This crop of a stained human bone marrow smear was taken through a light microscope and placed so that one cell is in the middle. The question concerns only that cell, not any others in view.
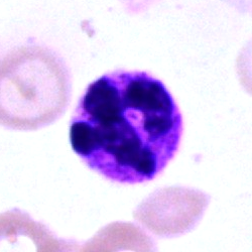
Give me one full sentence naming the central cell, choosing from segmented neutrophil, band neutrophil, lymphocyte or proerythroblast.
Positioned in the middle of the crop is a segmented neutrophil.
